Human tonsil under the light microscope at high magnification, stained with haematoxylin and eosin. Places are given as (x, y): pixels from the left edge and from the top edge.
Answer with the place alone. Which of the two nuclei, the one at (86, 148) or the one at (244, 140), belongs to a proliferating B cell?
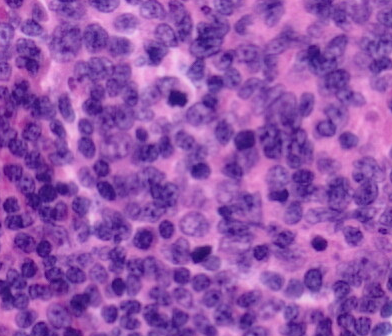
(244, 140)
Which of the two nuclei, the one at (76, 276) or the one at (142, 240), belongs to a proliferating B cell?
(142, 240)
